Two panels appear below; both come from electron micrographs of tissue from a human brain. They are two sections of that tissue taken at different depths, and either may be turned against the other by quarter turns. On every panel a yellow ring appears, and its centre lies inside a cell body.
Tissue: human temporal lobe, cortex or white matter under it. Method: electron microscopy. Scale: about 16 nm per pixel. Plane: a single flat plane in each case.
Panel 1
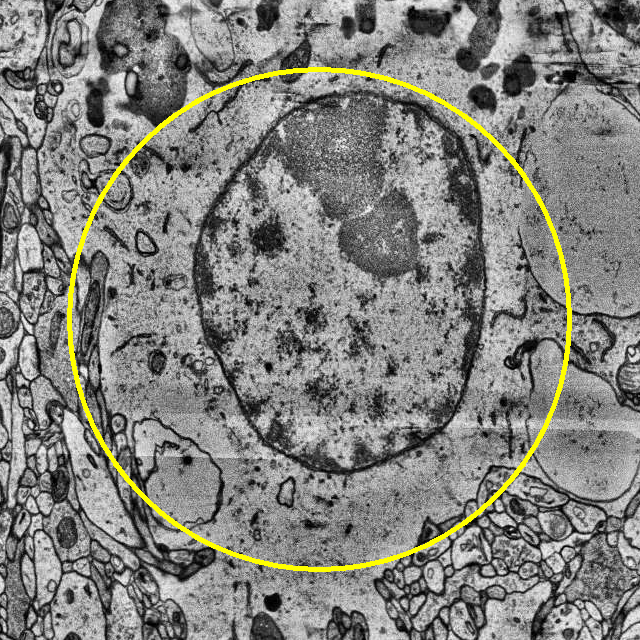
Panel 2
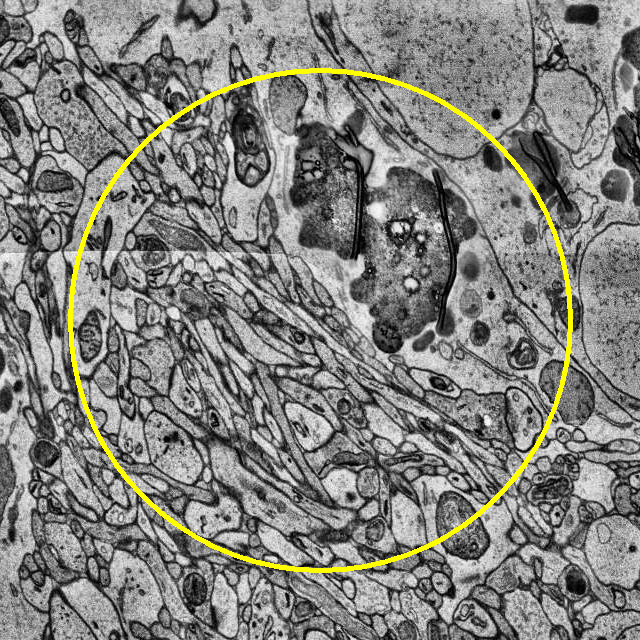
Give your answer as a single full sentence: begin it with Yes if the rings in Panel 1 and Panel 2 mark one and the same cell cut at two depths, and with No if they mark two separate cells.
No, the yellow rings highlight two different cells in the tissue.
